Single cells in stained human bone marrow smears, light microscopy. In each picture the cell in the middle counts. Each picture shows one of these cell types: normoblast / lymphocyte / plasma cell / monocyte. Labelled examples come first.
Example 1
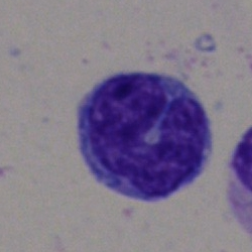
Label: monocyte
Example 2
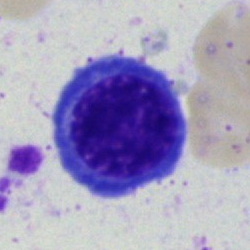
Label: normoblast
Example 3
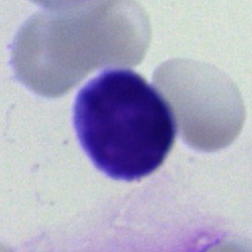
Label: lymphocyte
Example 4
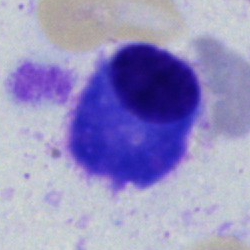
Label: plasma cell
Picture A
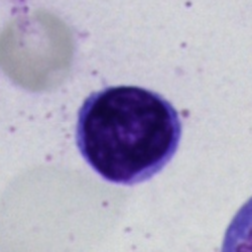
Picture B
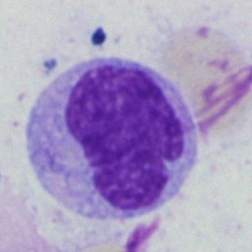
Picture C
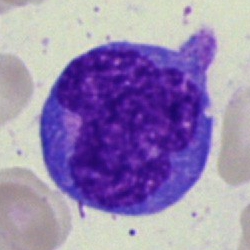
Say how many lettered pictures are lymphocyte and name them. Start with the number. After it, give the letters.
1: A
